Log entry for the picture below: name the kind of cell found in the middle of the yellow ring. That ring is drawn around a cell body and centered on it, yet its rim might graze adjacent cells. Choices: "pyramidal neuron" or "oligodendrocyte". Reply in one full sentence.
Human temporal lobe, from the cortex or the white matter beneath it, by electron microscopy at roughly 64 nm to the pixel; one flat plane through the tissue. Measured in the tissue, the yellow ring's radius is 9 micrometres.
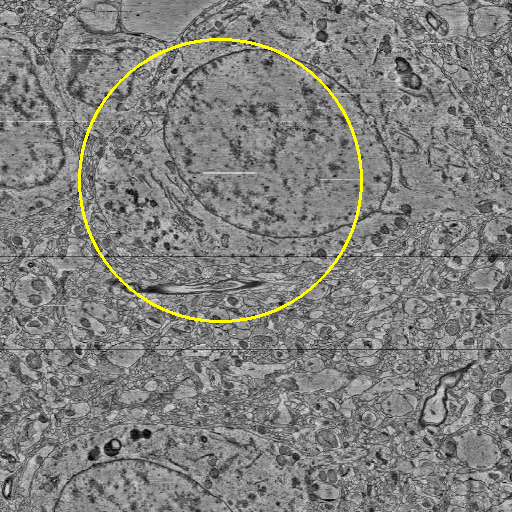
The cell in the middle of the yellow ring in this picture is a pyramidal neuron.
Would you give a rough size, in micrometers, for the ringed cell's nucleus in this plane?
The nucleus of the ringed cell is approximately 15 by 12 micrometres in this plane.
